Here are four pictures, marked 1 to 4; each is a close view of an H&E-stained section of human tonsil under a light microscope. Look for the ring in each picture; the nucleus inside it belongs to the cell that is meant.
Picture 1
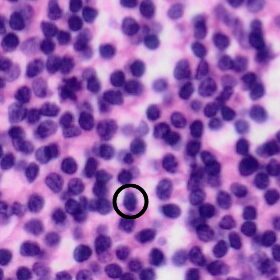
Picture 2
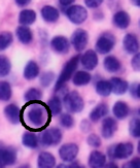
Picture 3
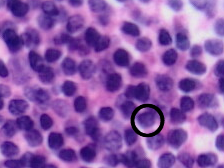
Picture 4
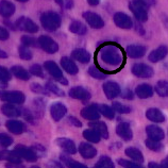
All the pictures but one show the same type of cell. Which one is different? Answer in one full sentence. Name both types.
Unlike the rest, which show small lymphocytes, picture 4 shows a plasma cell.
